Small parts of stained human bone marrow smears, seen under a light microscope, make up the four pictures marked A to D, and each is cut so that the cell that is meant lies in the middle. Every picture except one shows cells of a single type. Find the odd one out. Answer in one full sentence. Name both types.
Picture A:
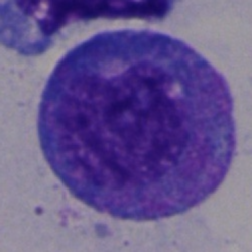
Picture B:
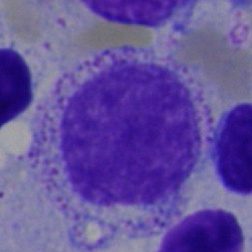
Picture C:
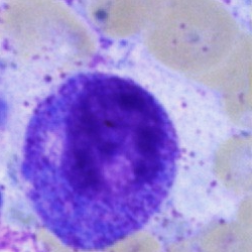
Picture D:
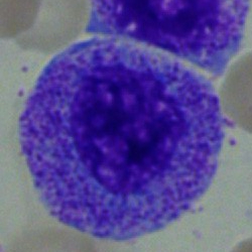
The different one is picture B; it shows a myelocyte, whereas all the others show promyelocytes.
